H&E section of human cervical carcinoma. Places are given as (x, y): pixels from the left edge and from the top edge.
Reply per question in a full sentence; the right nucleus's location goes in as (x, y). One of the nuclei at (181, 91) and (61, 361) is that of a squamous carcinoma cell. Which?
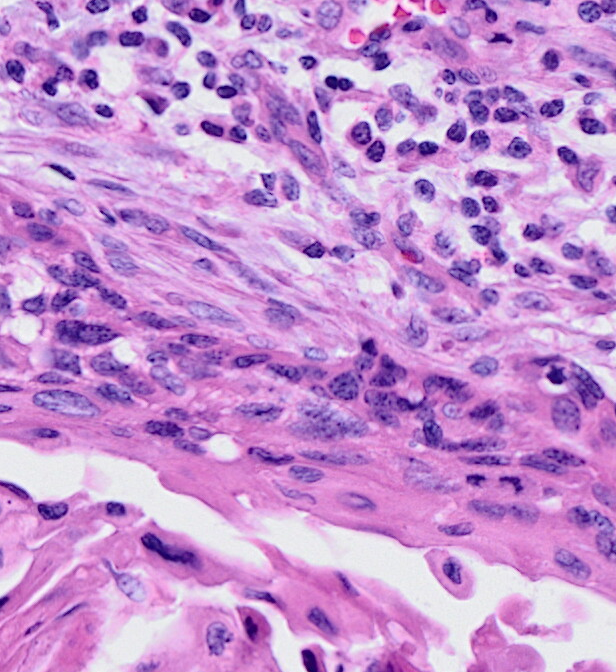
The nucleus found at (61, 361) belongs to a squamous carcinoma cell.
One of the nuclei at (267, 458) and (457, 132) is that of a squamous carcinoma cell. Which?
The nucleus at (267, 458) is the one that belongs to a squamous carcinoma cell.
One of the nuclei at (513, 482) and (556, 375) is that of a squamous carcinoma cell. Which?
Out of the two, it is the nucleus at (513, 482) that belongs to a squamous carcinoma cell.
